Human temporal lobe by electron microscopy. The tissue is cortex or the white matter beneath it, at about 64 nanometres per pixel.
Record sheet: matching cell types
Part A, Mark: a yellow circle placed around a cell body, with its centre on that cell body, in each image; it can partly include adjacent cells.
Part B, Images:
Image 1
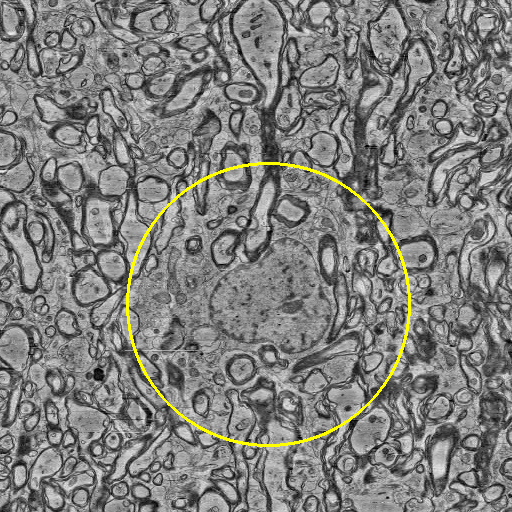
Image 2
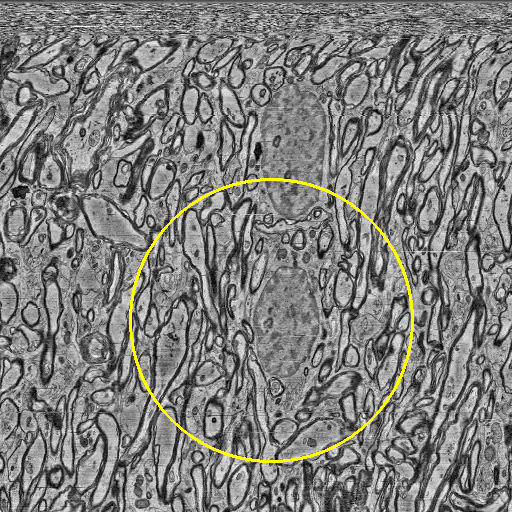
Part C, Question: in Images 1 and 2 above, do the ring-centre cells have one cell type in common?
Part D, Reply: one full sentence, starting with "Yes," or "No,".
No, the ring-centre cells of Image 1 and Image 2 are each of a separate cell type.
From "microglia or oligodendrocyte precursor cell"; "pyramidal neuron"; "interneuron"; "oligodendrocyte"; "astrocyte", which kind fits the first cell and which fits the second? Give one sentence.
The cell marked in the first picture is a microglial cell or oligodendrocyte precursor cell, and the one marked in the second is an oligodendrocyte.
